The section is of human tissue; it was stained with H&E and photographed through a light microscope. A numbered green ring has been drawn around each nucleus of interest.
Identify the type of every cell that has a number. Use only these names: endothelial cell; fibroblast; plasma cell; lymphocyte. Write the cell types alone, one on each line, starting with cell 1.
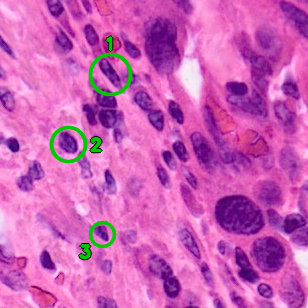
plasma cell
lymphocyte
lymphocyte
